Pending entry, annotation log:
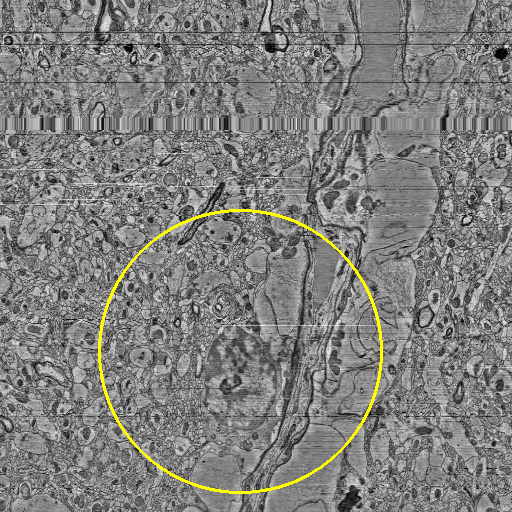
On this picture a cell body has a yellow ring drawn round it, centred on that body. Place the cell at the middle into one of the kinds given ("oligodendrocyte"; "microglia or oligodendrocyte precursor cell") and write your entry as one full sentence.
The cell body at the middle of the yellow ring belongs to an oligodendrocyte.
